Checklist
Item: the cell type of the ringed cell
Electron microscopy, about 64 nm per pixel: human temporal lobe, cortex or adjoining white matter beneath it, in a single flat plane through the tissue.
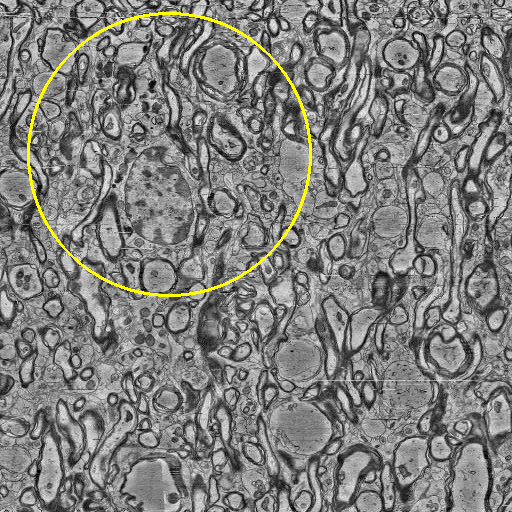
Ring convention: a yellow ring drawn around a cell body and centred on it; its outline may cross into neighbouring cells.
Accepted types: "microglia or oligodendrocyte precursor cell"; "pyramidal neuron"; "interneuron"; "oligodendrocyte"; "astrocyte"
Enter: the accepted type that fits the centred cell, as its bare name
microglia or oligodendrocyte precursor cell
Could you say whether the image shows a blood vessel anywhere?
No, the picture includes no blood vessel.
